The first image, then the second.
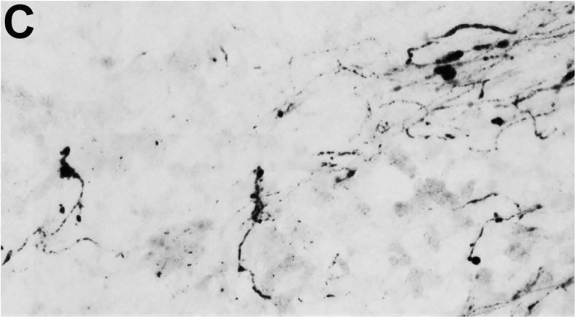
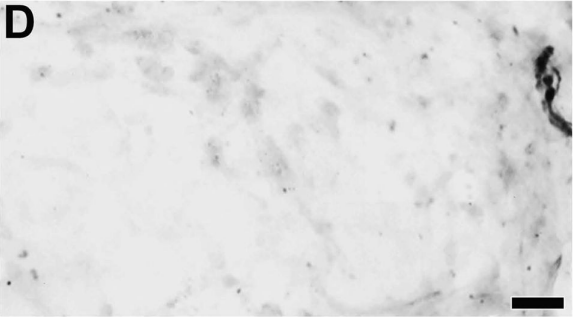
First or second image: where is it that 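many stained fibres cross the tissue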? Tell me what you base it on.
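Second image: pale tissue with almost no stained fibres, only a small dark bit at the right edge. First image: numerous thin dark beaded fibres wind across the field.
Answer: the first image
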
